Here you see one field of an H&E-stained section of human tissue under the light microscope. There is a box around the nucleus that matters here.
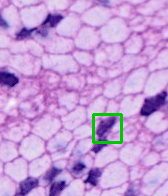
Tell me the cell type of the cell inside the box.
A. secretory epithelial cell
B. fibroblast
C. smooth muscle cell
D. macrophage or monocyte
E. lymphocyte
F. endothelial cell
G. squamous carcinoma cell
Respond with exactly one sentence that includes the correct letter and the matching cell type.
Option A correctly identifies the cell inside the box as a secretory epithelial cell.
